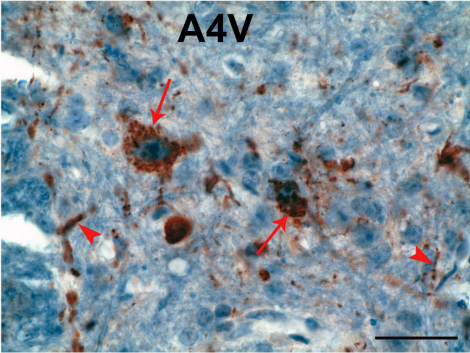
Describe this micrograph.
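Scattered through the surrounding neuropil are small brown dots and short elongated brown profiles lying along neurites. Many small nuclei of supporting cells are dispersed between the neurons.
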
